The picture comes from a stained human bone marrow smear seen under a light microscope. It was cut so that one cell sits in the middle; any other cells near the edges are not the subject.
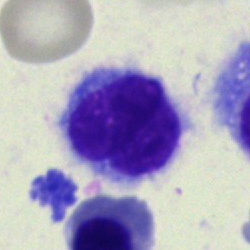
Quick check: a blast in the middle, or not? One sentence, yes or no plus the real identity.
No, it is a hairy cell that sits in the middle, not a blast.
